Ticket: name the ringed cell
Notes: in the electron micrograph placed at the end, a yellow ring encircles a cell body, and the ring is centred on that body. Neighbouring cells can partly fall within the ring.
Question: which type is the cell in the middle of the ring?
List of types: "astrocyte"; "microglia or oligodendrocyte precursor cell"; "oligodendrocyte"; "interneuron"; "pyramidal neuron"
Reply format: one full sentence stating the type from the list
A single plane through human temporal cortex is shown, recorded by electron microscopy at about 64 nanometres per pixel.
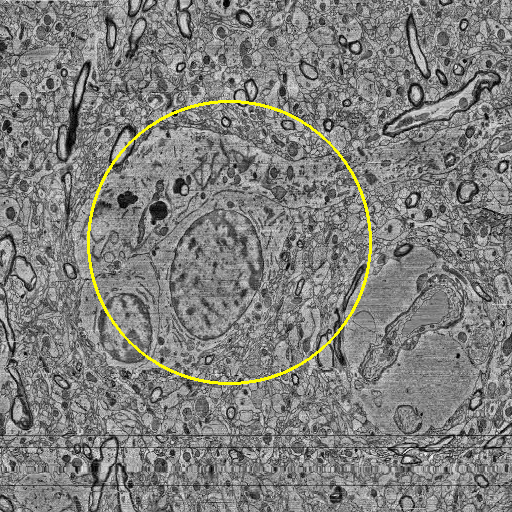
The cell sitting at the centre of the yellow ring is a microglial cell or oligodendrocyte precursor cell.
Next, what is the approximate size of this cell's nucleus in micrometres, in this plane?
The nucleus works out at approximately 9 by 6 micrometres in this plane.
